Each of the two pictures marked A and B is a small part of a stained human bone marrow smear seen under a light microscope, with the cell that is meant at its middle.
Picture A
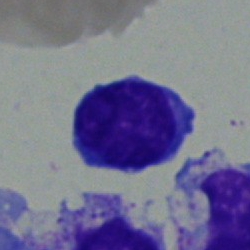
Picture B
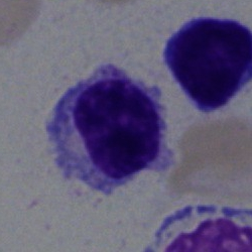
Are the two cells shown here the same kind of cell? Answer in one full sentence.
Yes, both cells are lymphocytes.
